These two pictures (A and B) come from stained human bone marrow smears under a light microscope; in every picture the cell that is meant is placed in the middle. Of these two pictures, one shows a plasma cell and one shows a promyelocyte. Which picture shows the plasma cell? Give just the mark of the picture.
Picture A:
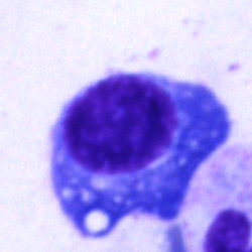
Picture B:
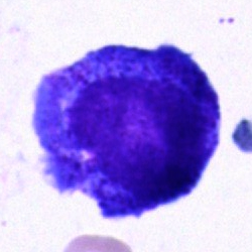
A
